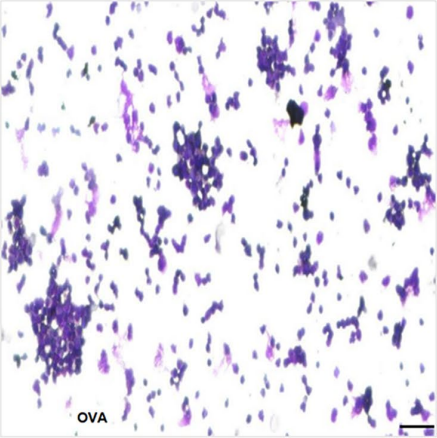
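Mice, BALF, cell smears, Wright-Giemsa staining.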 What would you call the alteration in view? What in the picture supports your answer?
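Several large dense clusters of purple-stained cells. Clusters are made of dozens of tightly packed cells. So: aggregated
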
